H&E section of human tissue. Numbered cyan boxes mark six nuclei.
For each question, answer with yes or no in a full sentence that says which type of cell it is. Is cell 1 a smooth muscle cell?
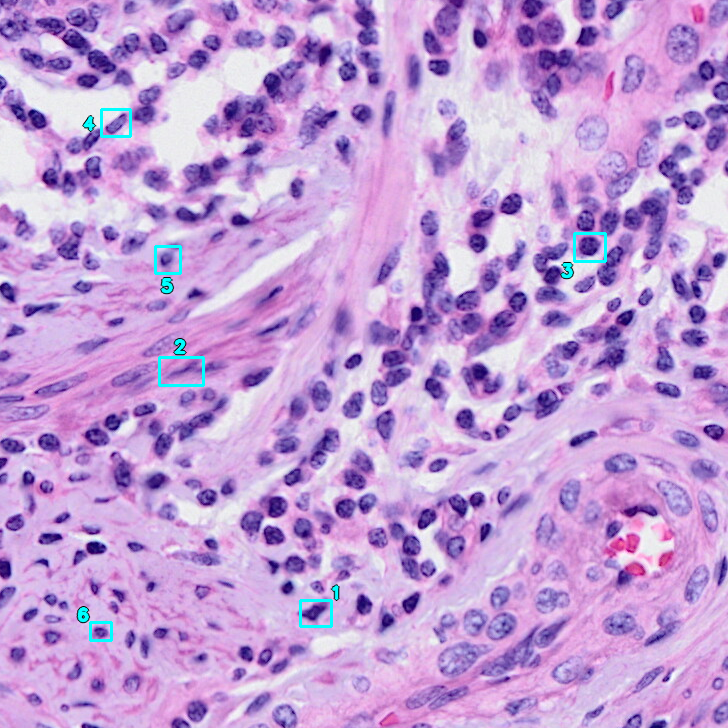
No, cell 1 should be read as a lymphocyte instead of a smooth muscle cell.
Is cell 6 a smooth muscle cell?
Yes, the cell that is numbered 6 is a smooth muscle cell.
